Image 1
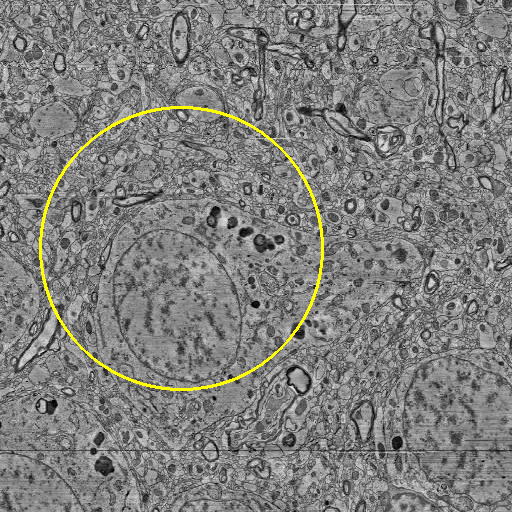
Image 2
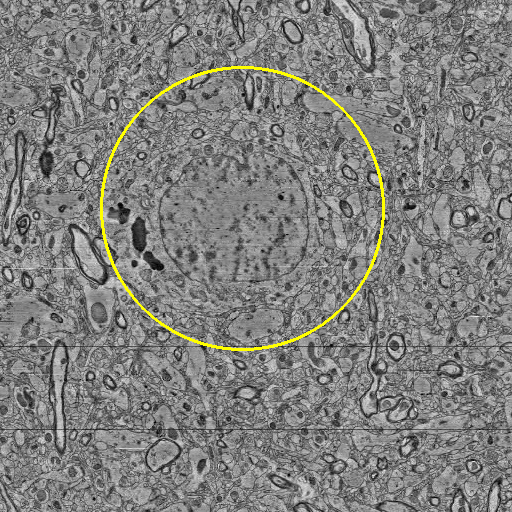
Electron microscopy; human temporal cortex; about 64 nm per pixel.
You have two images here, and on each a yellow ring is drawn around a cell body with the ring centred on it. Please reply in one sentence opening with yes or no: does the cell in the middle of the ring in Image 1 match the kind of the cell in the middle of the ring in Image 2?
No, the two images show cells of two kinds at the centres of their rings.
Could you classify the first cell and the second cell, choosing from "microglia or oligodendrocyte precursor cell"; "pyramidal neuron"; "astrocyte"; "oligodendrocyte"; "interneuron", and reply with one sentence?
The second cell is an interneuron, while the first is a pyramidal neuron.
